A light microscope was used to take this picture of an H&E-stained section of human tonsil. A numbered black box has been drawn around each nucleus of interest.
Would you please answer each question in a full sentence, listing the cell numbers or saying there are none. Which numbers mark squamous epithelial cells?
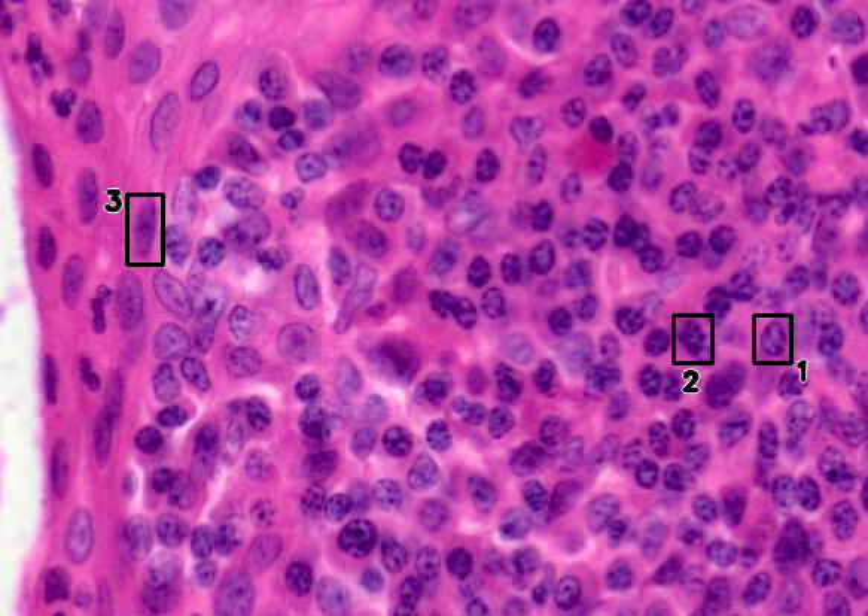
Cell 3 is a squamous epithelial cell, and that holds for no other numbered cell.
